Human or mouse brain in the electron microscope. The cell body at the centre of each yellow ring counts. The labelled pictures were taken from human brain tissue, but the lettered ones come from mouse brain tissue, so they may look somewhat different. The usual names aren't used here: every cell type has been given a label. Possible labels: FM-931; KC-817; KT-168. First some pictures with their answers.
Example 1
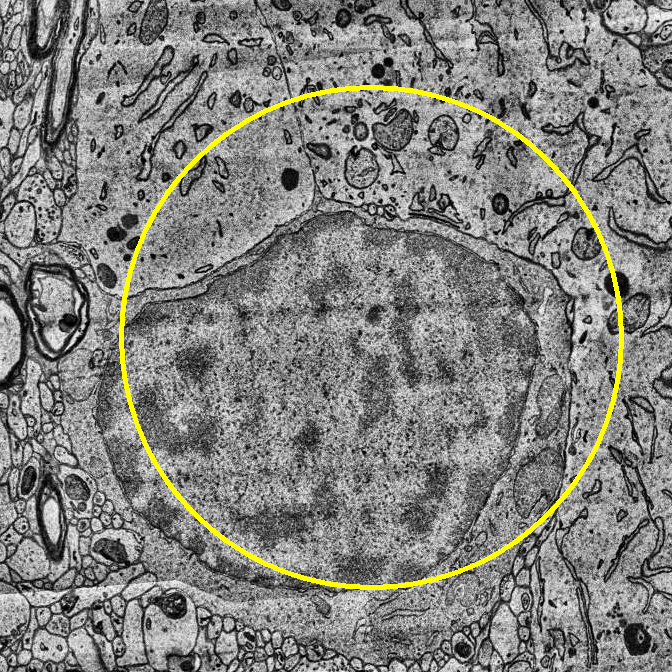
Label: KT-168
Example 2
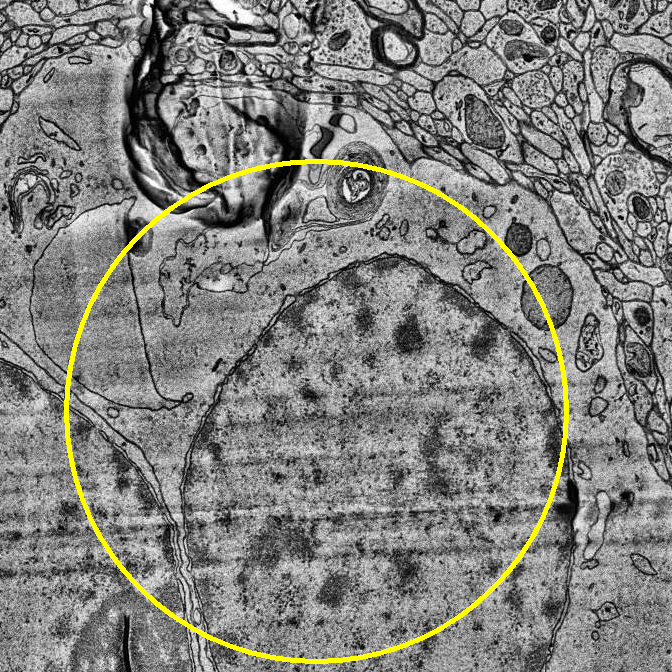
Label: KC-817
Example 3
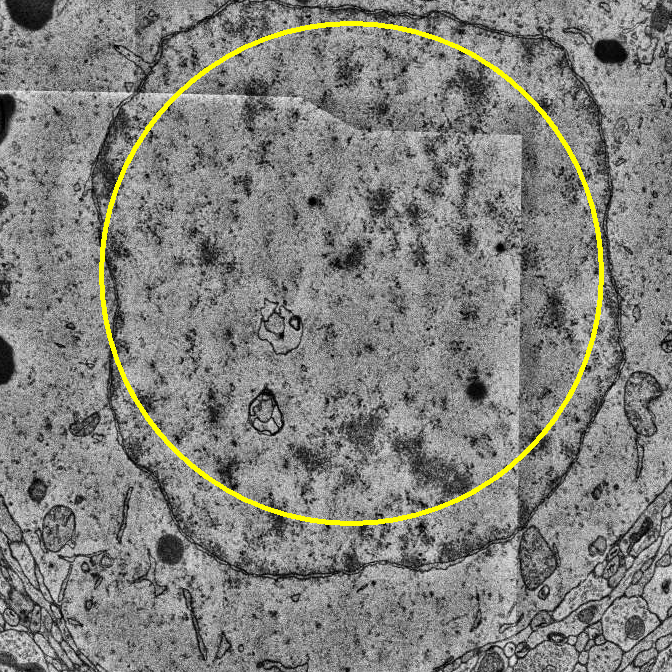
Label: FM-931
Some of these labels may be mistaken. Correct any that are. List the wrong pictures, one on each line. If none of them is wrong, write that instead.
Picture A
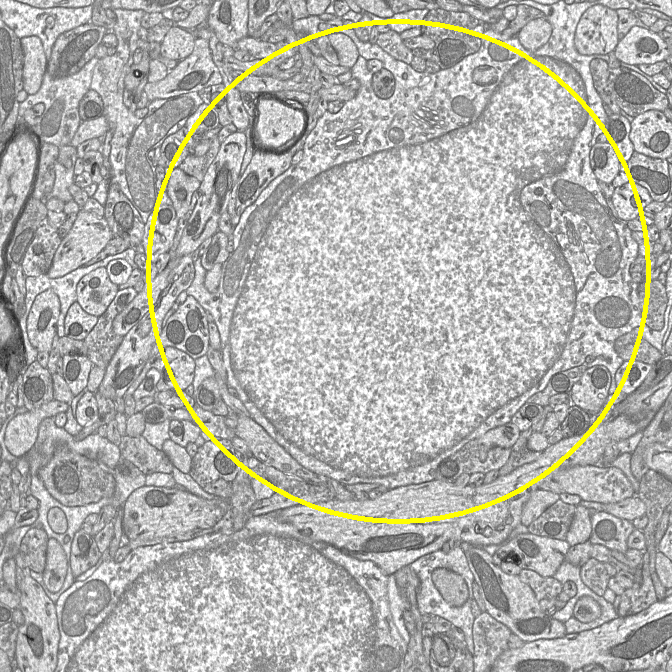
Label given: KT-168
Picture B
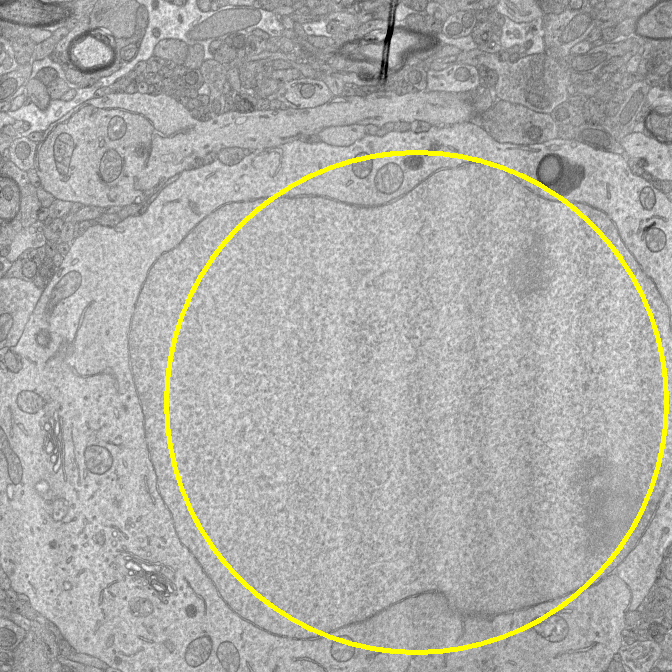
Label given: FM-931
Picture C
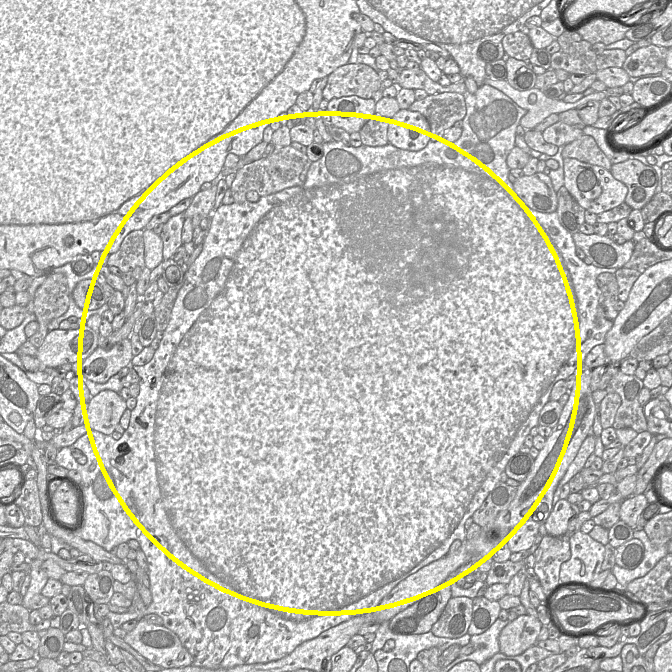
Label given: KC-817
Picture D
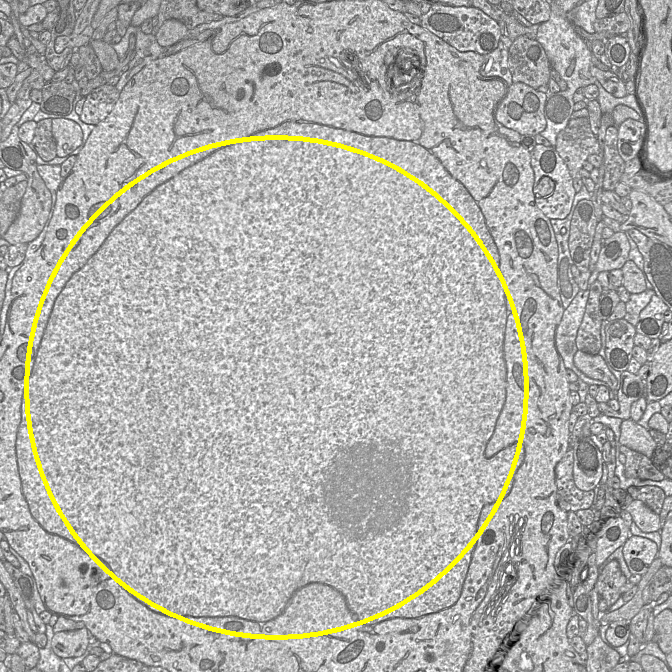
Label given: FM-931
Wrong: A (KT-168); correct: KC-817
